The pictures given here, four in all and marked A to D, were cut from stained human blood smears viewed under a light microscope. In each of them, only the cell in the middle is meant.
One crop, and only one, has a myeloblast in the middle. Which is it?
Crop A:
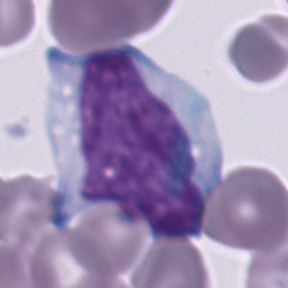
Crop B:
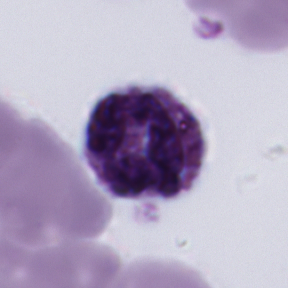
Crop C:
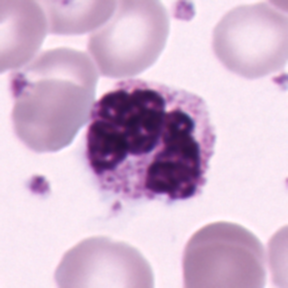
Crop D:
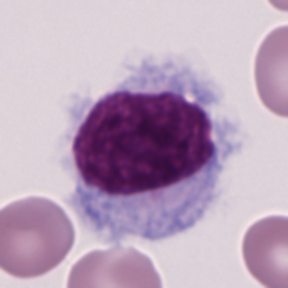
A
